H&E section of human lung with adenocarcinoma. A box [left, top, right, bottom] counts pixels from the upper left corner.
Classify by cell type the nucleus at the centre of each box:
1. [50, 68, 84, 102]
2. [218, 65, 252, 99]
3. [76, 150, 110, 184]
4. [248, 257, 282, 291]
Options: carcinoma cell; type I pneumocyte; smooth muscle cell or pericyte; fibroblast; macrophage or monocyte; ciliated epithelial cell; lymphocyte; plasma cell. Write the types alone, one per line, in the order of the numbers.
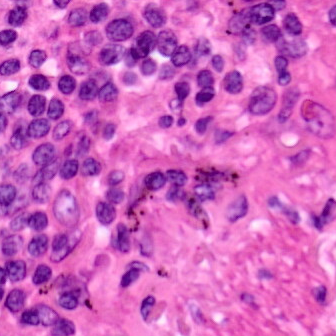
lymphocyte
lymphocyte
lymphocyte
smooth muscle cell or pericyte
